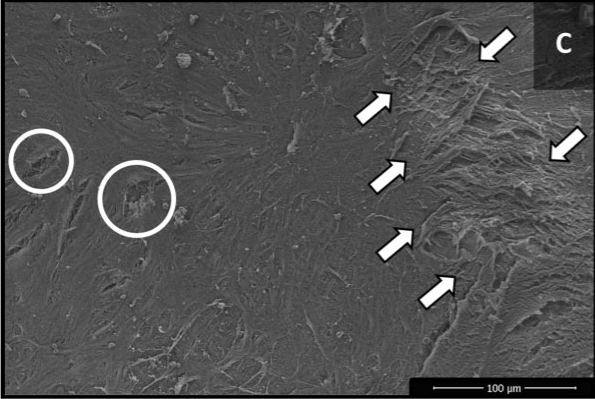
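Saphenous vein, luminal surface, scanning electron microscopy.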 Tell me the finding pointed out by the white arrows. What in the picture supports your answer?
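Exposure of subendothelial layers. On the right the smooth cell surface gives way to a rough layer of wavy, fibrous strands. The arrows line the border of this exposed fibrous area.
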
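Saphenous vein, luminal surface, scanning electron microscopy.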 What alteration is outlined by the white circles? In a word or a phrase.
Fissures in the cellular intima layer.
